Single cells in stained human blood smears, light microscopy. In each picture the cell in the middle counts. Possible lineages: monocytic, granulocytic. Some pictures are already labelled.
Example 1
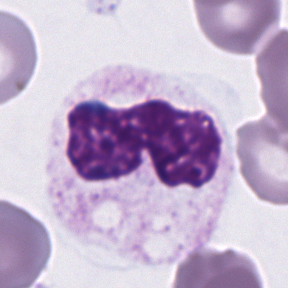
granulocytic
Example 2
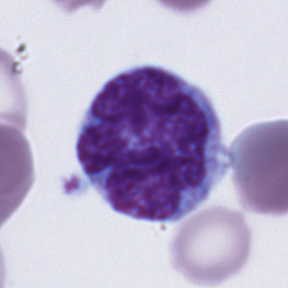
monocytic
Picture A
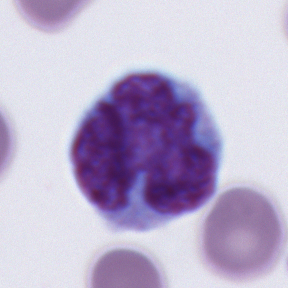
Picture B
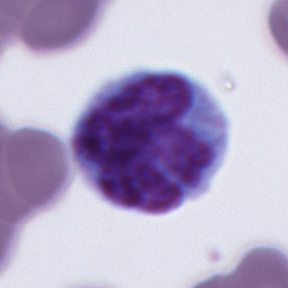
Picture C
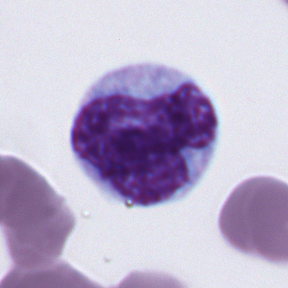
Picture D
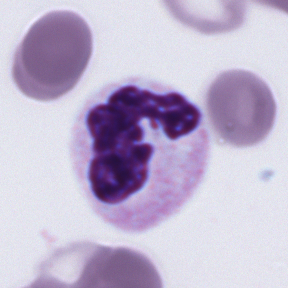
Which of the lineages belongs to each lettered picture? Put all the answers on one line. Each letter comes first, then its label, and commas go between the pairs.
A monocytic, B monocytic, C monocytic, D granulocytic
